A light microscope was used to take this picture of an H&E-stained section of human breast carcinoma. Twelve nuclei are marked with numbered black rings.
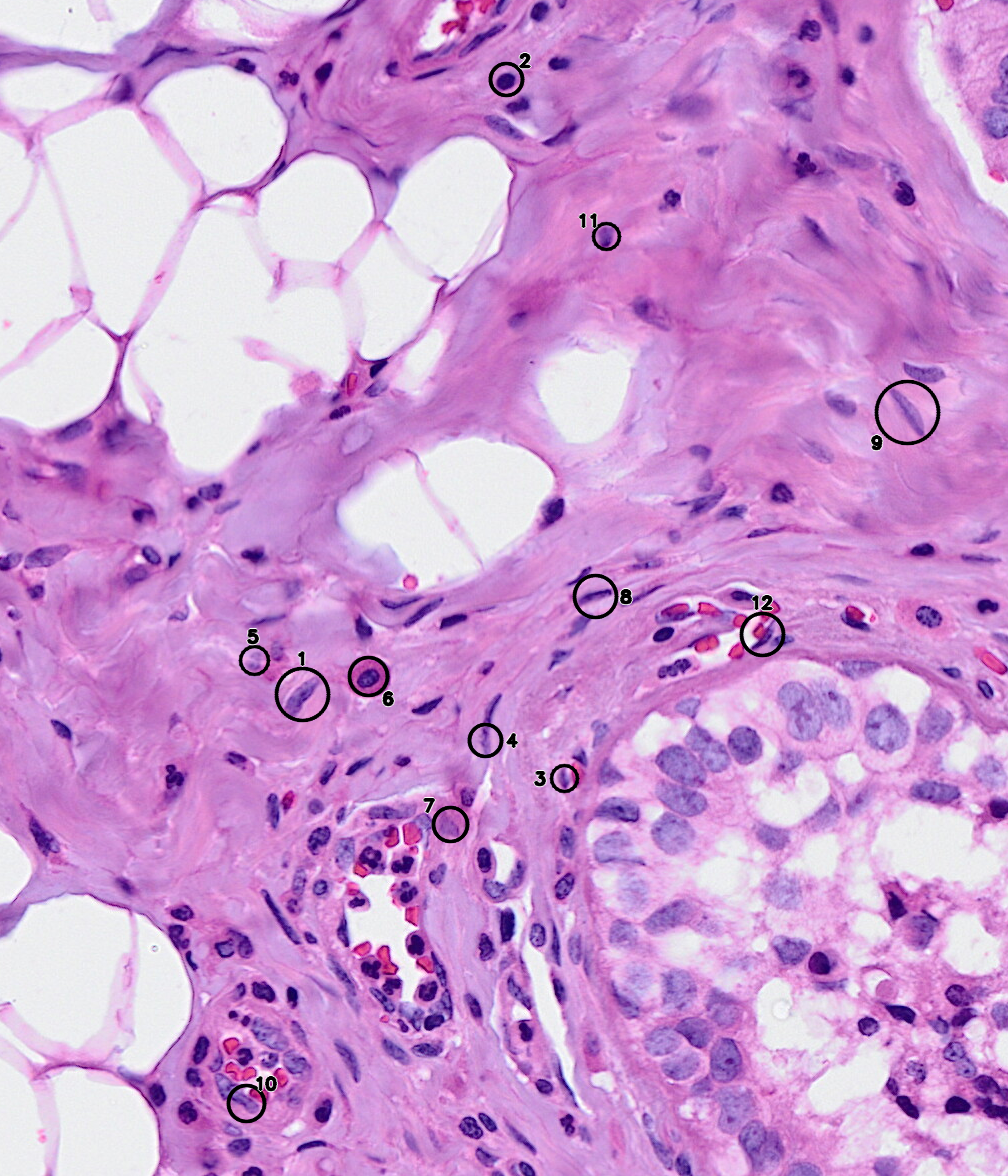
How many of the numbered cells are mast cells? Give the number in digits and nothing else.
1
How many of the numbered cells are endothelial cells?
4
